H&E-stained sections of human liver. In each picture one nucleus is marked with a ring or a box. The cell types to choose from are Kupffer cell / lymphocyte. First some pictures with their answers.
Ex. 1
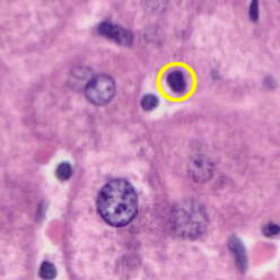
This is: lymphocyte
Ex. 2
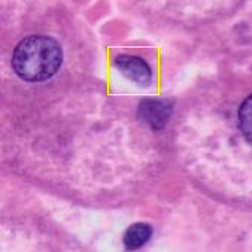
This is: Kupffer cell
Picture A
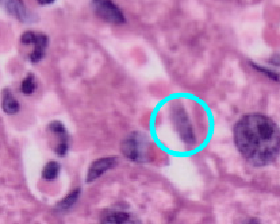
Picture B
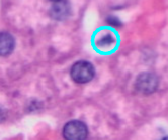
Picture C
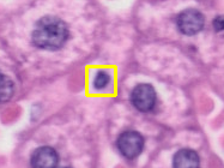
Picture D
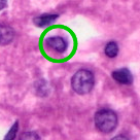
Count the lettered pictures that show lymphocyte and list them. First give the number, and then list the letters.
Count: 2 (B, C)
